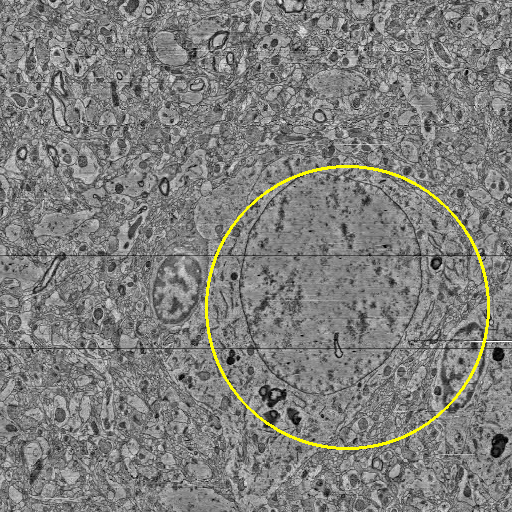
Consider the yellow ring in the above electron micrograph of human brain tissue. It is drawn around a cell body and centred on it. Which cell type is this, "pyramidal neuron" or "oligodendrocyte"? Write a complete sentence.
The cell in question is a pyramidal neuron.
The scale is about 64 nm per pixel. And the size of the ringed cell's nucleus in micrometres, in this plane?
The nucleus measures about 14 by 12 micrometres in this plane.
